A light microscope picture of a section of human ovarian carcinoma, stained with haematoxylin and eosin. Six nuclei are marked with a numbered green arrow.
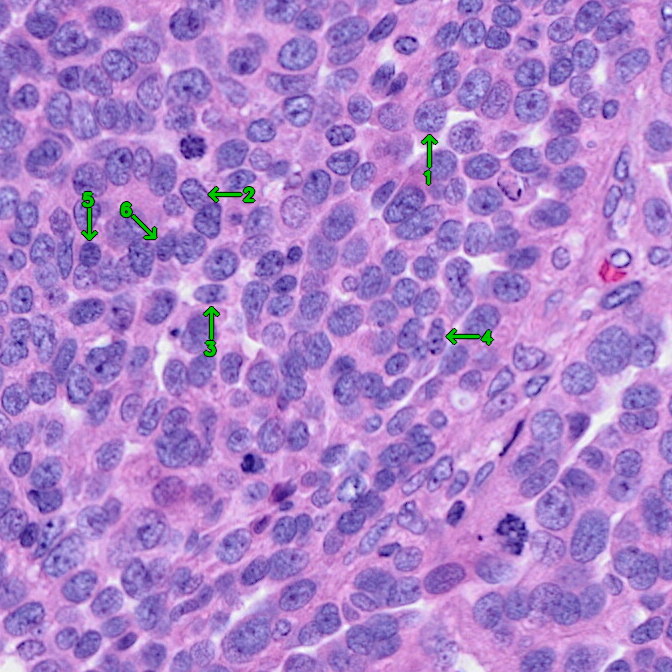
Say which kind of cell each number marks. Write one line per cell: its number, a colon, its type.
1: carcinoma cell
2: carcinoma cell
3: macrophage or monocyte
4: macrophage or monocyte
5: carcinoma cell
6: carcinoma cell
